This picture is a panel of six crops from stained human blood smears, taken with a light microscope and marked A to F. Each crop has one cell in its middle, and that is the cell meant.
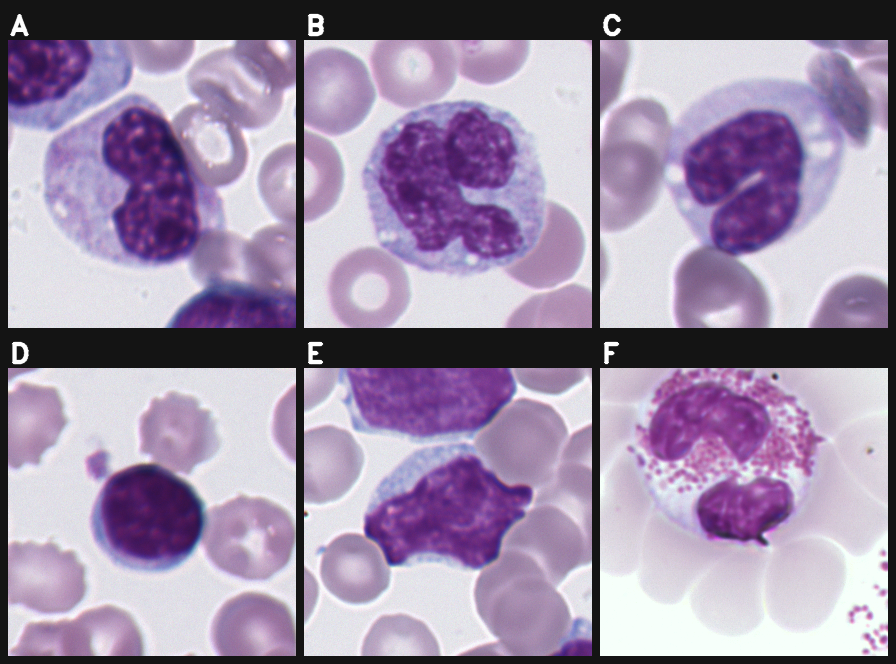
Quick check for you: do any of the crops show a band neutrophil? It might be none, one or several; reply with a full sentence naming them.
In crops A and C, band neutrophils occupy the centre.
